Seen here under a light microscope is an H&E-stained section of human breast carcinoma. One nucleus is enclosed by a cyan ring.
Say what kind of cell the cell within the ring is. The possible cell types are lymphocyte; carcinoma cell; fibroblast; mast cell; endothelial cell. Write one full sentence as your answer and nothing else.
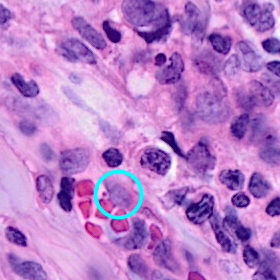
Just put down that the cell within the ring is an endothelial cell.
